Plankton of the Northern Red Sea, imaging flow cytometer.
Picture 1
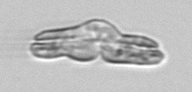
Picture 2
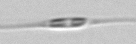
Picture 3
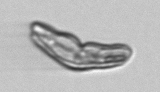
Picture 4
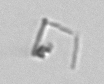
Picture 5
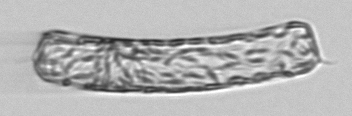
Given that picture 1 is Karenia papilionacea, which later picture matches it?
3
